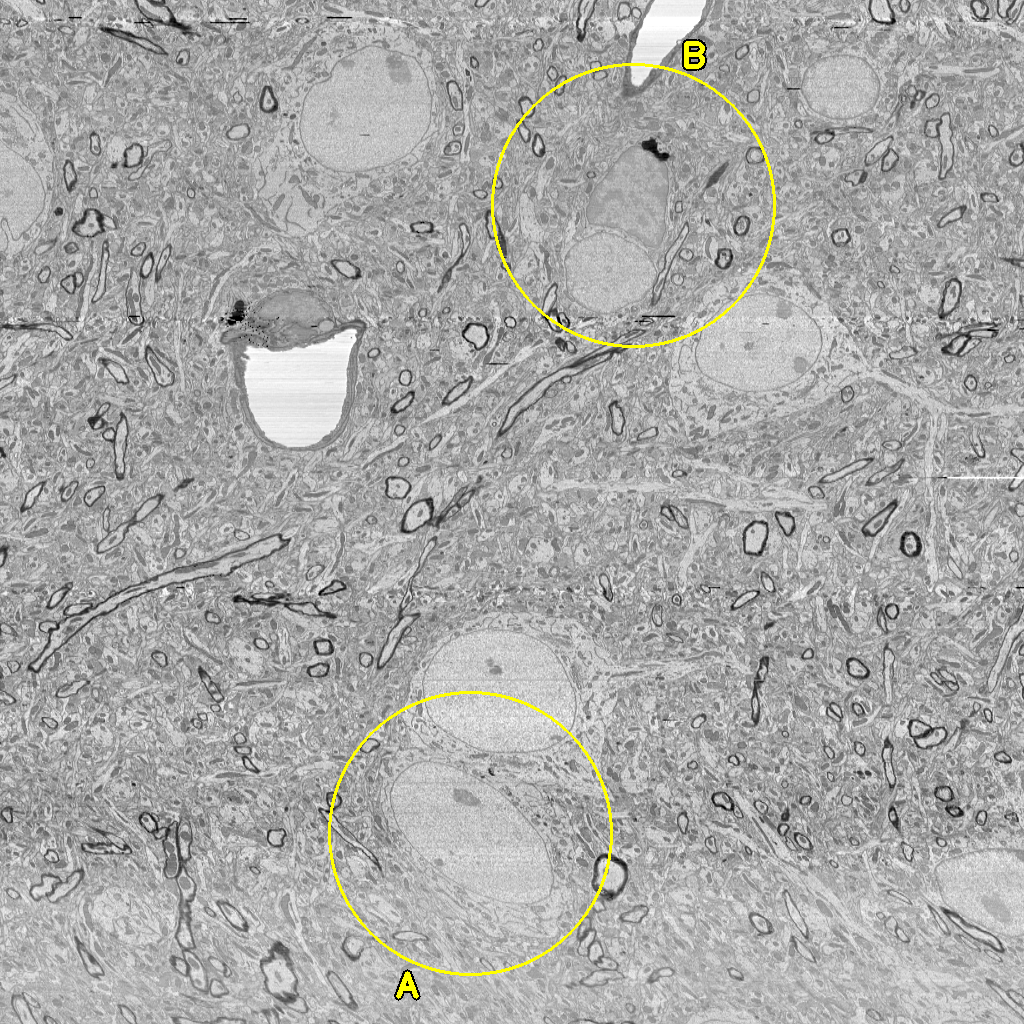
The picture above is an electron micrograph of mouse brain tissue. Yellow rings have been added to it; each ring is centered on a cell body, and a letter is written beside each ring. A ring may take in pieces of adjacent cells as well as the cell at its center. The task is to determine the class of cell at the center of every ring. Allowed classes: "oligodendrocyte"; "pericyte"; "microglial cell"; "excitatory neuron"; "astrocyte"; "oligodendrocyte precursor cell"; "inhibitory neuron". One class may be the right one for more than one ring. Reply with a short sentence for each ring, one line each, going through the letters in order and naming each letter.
Ring A is centered on an excitatory neuron.
Ring B is centered on a microglial cell.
